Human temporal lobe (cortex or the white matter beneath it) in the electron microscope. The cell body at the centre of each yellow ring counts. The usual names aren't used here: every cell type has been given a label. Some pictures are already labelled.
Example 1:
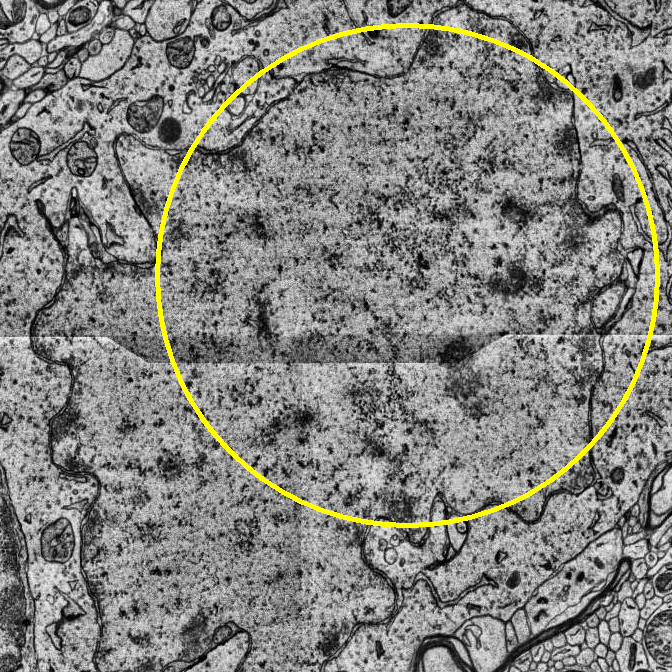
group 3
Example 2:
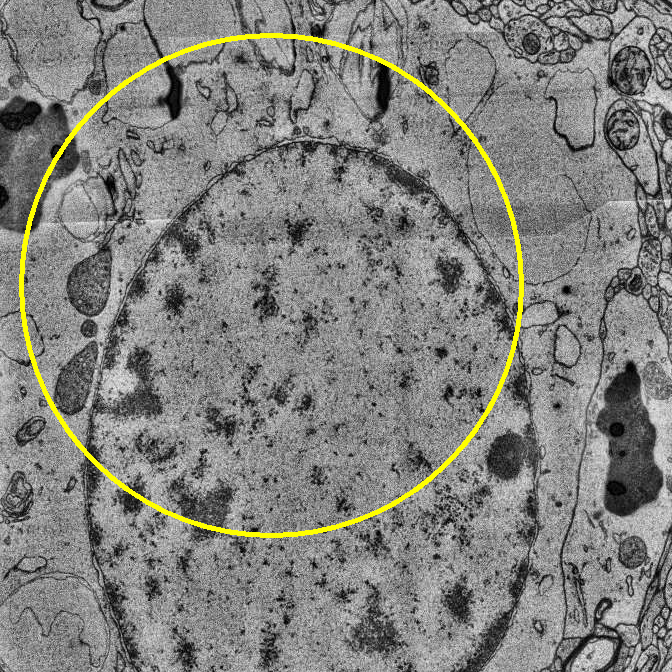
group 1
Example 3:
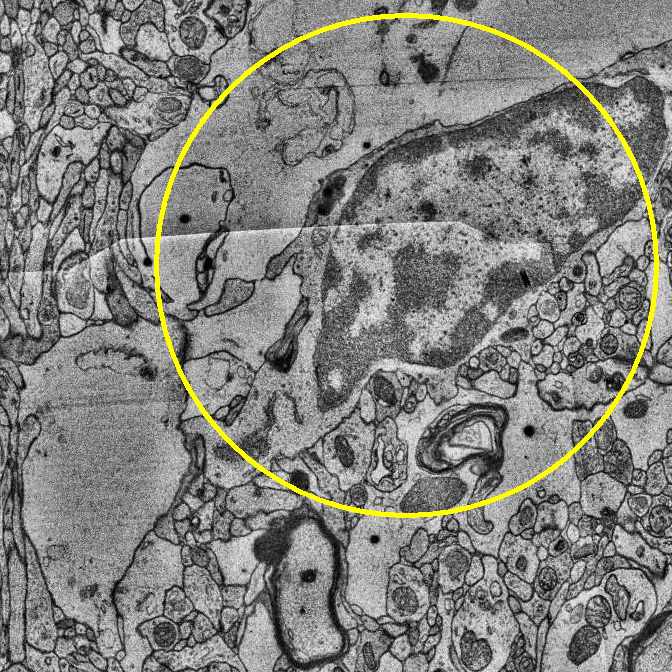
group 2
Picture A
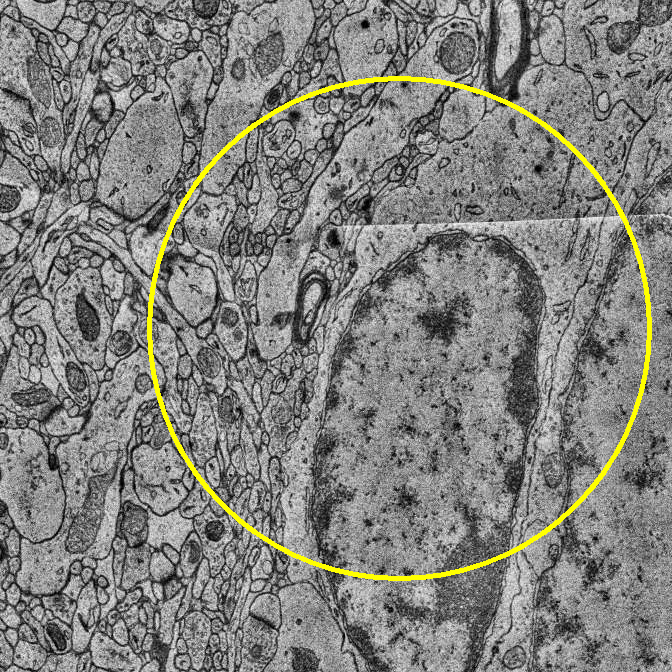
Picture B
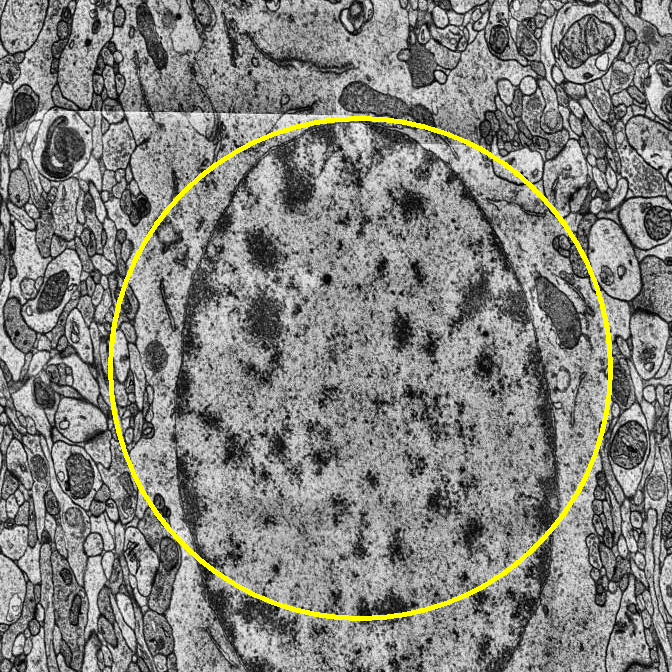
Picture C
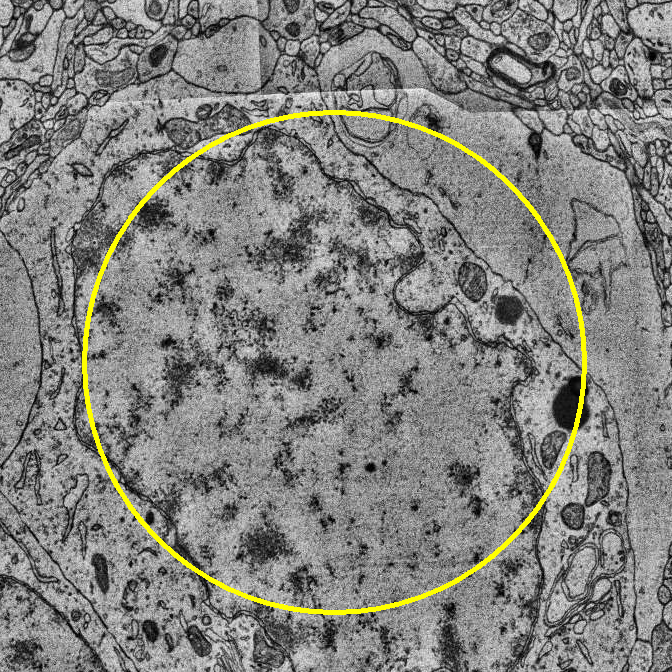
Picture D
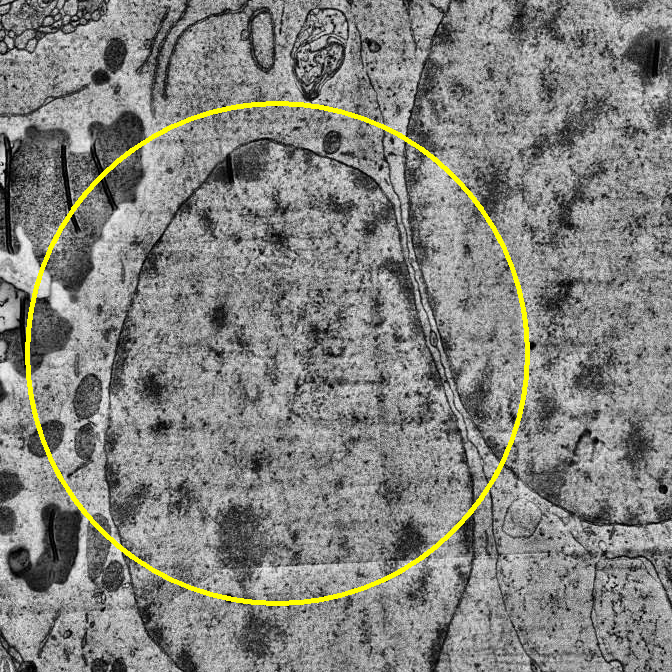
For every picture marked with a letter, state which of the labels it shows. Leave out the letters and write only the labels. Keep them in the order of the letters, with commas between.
group 2, group 1, group 3, group 1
